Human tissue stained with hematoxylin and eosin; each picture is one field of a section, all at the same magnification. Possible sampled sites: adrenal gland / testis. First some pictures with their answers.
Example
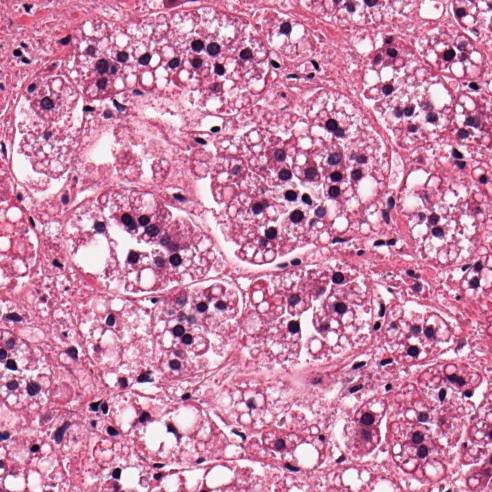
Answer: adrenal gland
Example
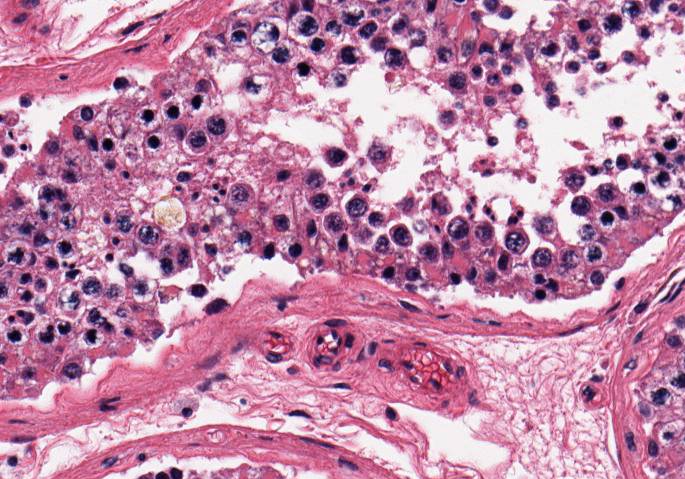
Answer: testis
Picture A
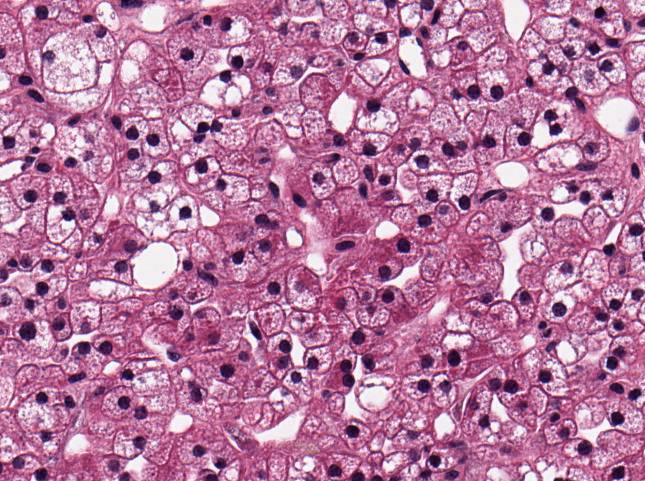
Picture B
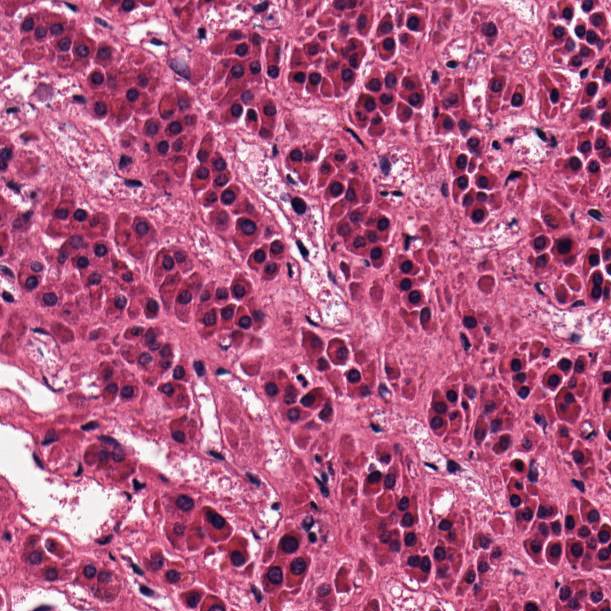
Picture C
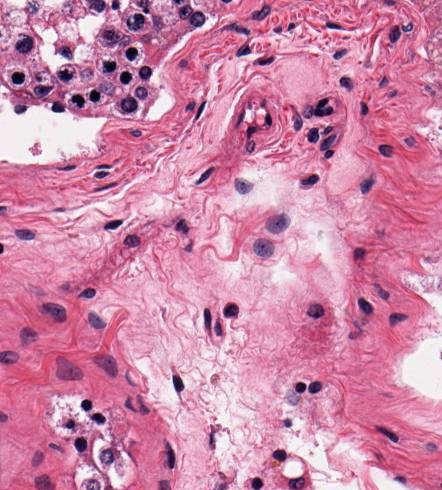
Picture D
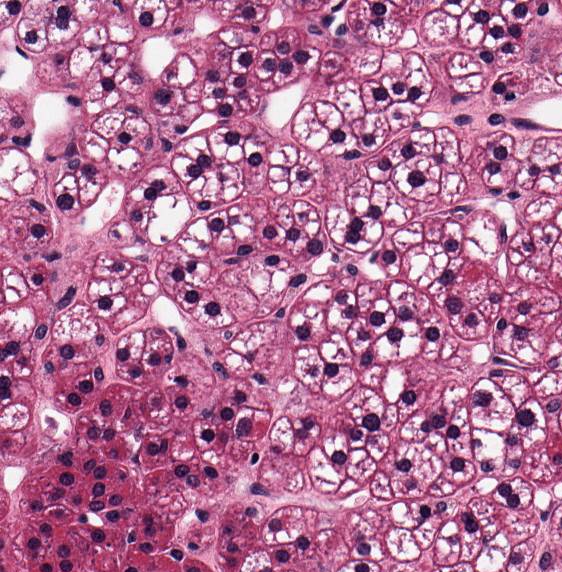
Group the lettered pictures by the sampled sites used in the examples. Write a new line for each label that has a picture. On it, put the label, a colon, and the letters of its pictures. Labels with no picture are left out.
adrenal gland: A, B, D
testis: C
